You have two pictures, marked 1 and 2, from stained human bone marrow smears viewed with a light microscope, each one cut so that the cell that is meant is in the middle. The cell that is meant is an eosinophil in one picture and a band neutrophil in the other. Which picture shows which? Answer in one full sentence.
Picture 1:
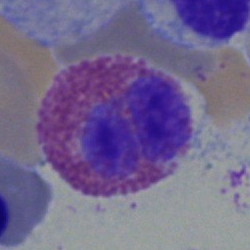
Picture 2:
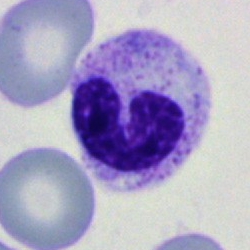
In picture 1 the cell is an eosinophil; in picture 2, a band neutrophil.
